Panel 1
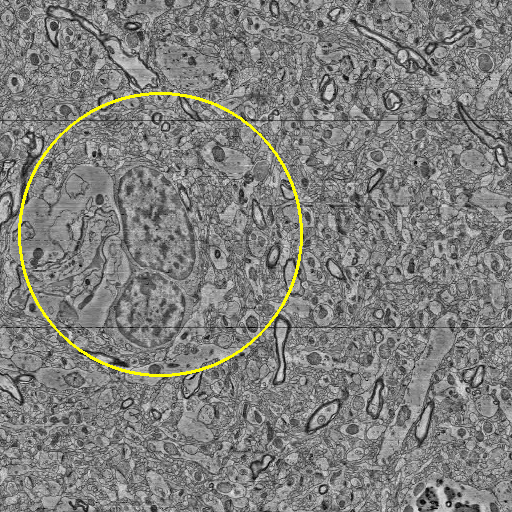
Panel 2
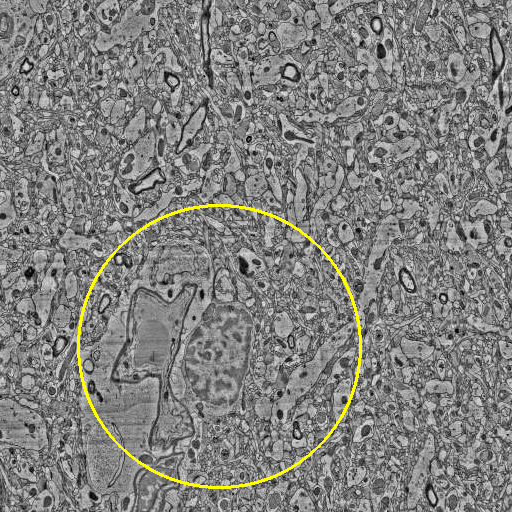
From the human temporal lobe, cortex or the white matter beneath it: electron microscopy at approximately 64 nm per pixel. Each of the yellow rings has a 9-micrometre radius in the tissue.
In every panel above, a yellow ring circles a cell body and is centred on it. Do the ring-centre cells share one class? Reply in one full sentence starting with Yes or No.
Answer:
Yes, the two cells at the ring centres in the panels belong to one class.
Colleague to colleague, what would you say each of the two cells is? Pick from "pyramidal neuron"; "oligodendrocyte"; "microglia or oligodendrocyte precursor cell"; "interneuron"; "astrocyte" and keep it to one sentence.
Each of the two cells is an oligodendrocyte.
